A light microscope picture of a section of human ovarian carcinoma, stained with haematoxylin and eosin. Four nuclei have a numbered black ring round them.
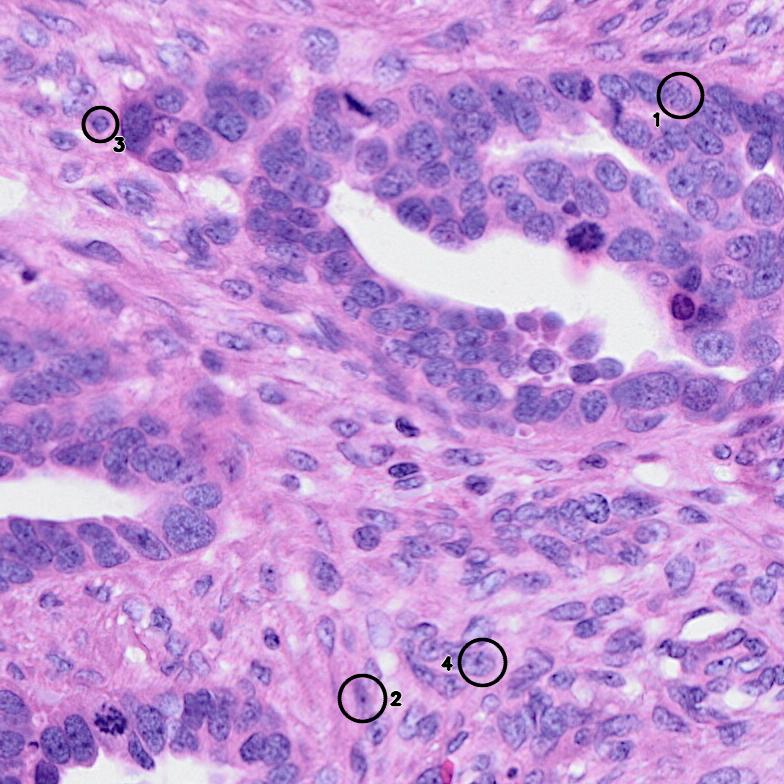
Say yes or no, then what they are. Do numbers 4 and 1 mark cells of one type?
No, cell 4 is a fibroblast, whereas a carcinoma cell is what cell 1 is.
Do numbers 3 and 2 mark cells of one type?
No, the correct reading has cell 3 as a macrophage or monocyte and cell 2 as a fibroblast.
